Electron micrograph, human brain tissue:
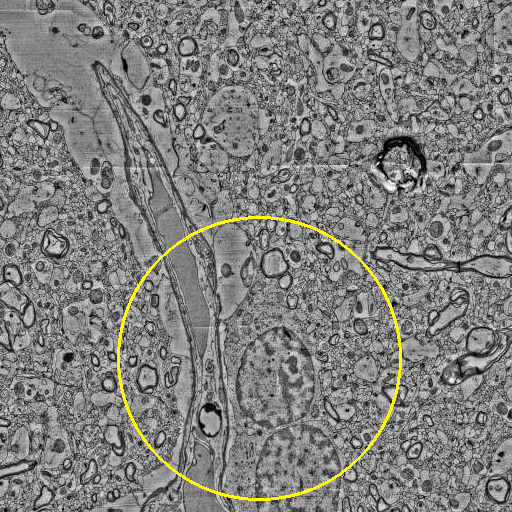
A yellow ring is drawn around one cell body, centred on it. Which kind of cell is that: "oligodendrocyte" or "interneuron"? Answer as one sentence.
It is an oligodendrocyte at the centre of the ring.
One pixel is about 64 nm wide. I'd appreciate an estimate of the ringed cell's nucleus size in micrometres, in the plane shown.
Roughly 6 by 5 micrometres is the size of the nucleus in this plane.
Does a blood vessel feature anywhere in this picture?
Yes, a blood vessel is present in this picture.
